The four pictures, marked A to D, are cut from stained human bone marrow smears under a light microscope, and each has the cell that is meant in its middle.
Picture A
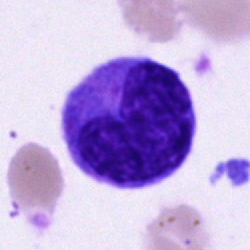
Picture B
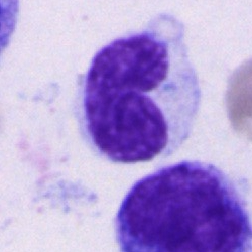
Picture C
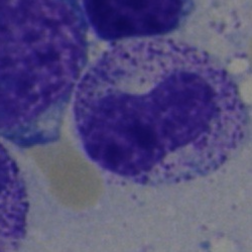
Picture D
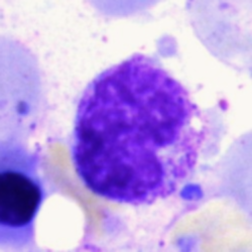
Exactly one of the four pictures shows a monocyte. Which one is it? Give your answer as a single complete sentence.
The picture with the monocyte is A.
